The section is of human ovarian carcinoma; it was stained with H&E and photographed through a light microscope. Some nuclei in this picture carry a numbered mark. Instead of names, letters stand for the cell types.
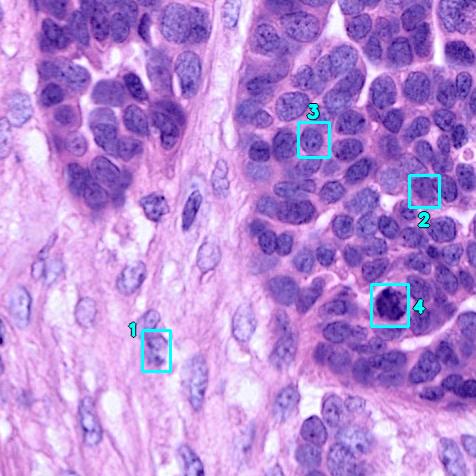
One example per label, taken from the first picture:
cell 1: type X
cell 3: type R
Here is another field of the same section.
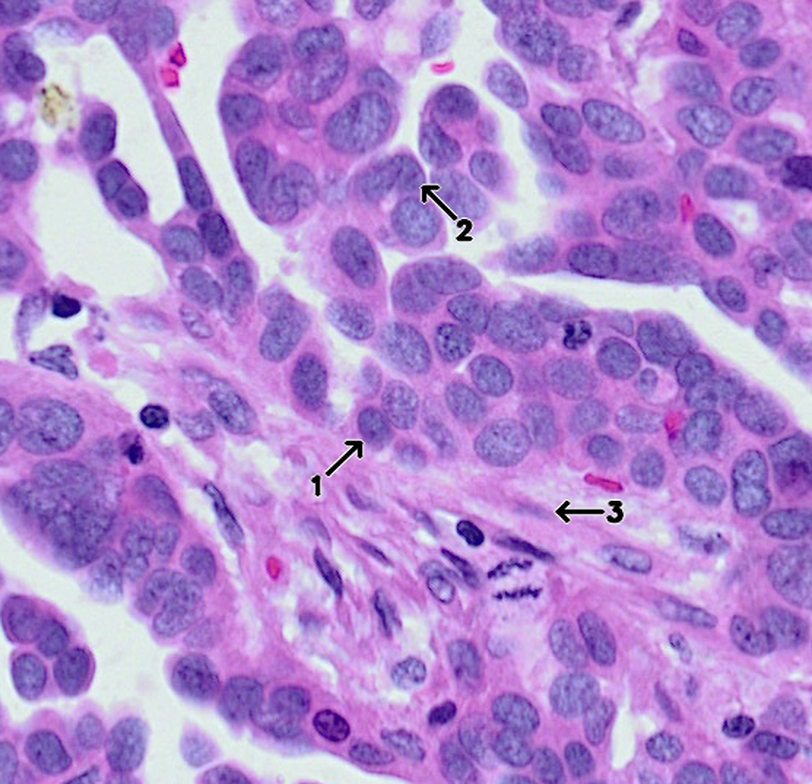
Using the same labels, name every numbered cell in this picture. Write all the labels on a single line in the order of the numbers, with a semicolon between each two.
type R; type R; type X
